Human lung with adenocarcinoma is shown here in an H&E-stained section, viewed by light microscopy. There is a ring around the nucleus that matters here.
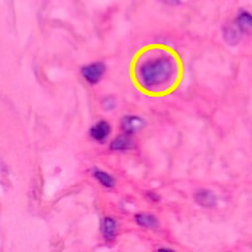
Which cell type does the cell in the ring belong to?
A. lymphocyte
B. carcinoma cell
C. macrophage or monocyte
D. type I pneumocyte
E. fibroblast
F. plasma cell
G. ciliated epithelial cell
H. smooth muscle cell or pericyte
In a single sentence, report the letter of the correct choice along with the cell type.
The correct option here, H, identifies the cell in the ring as a smooth muscle cell or pericyte.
